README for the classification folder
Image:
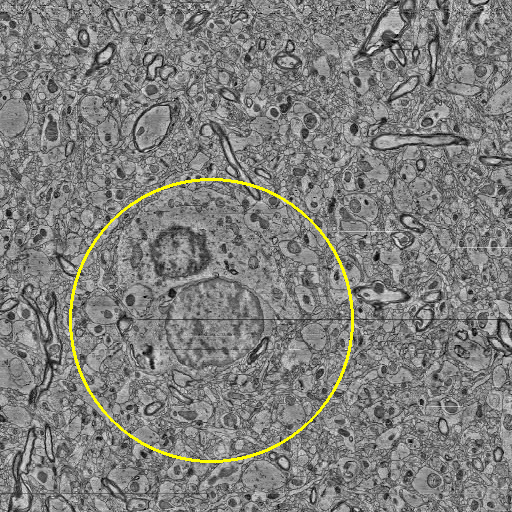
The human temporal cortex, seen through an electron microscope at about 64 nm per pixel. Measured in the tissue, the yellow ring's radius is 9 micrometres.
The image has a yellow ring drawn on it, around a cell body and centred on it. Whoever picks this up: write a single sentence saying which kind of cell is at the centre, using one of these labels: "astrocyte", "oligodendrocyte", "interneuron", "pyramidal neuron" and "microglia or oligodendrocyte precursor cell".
This cell body is that of an oligodendrocyte.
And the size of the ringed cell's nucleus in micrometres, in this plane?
The nucleus measures about 6 micrometers across in this plane.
